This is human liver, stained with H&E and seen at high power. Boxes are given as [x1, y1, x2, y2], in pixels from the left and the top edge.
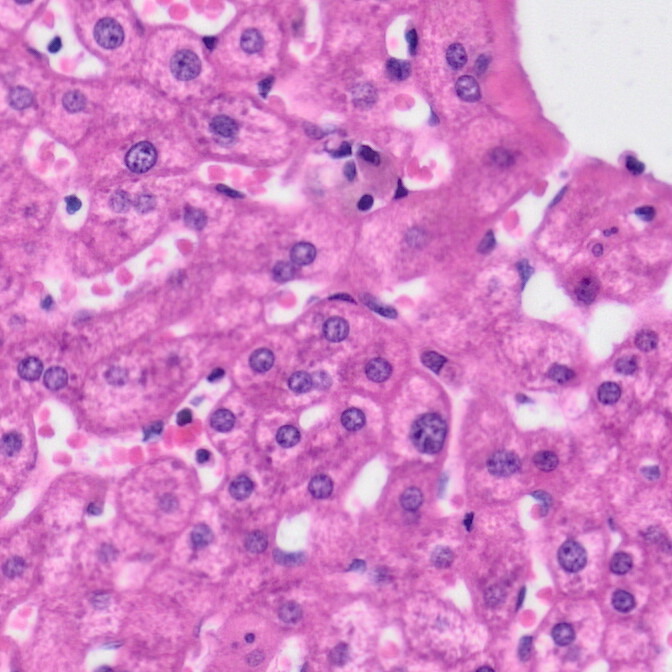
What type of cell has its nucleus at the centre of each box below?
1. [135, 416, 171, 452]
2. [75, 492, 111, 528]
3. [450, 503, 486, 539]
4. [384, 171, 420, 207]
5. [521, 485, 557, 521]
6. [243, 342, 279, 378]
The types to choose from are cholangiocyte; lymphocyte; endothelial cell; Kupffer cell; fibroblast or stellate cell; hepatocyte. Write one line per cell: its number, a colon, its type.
1: endothelial cell
2: Kupffer cell
3: fibroblast or stellate cell
4: fibroblast or stellate cell
5: endothelial cell
6: hepatocyte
